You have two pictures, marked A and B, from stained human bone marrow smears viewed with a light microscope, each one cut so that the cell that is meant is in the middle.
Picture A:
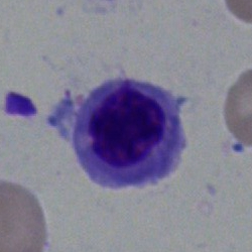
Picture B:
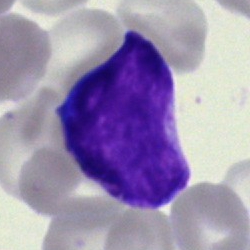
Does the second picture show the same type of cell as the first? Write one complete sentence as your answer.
No; the cell in picture A is an erythroblast, while the one in picture B is a blast.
